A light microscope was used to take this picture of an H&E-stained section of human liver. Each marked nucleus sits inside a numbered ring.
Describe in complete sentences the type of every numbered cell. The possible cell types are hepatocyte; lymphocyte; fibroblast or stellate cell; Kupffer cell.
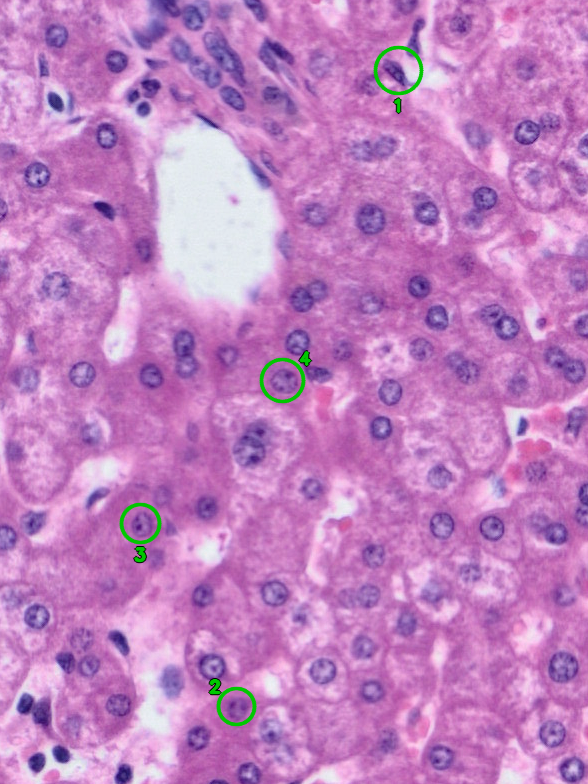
Cell 1 is a fibroblast or stellate cell, cell 2 is a hepatocyte, cell 3 is a hepatocyte and cell 4 is a hepatocyte.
